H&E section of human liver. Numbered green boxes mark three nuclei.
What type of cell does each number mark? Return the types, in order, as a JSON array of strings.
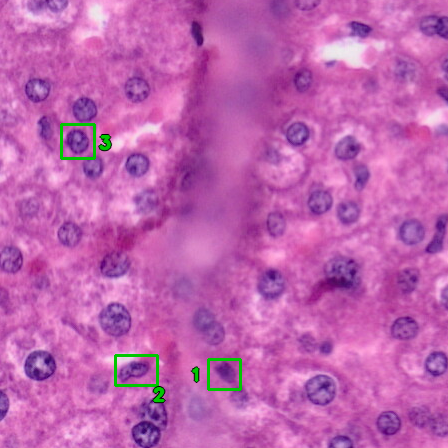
["fibroblast or stellate cell", "Kupffer cell", "hepatocyte"]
